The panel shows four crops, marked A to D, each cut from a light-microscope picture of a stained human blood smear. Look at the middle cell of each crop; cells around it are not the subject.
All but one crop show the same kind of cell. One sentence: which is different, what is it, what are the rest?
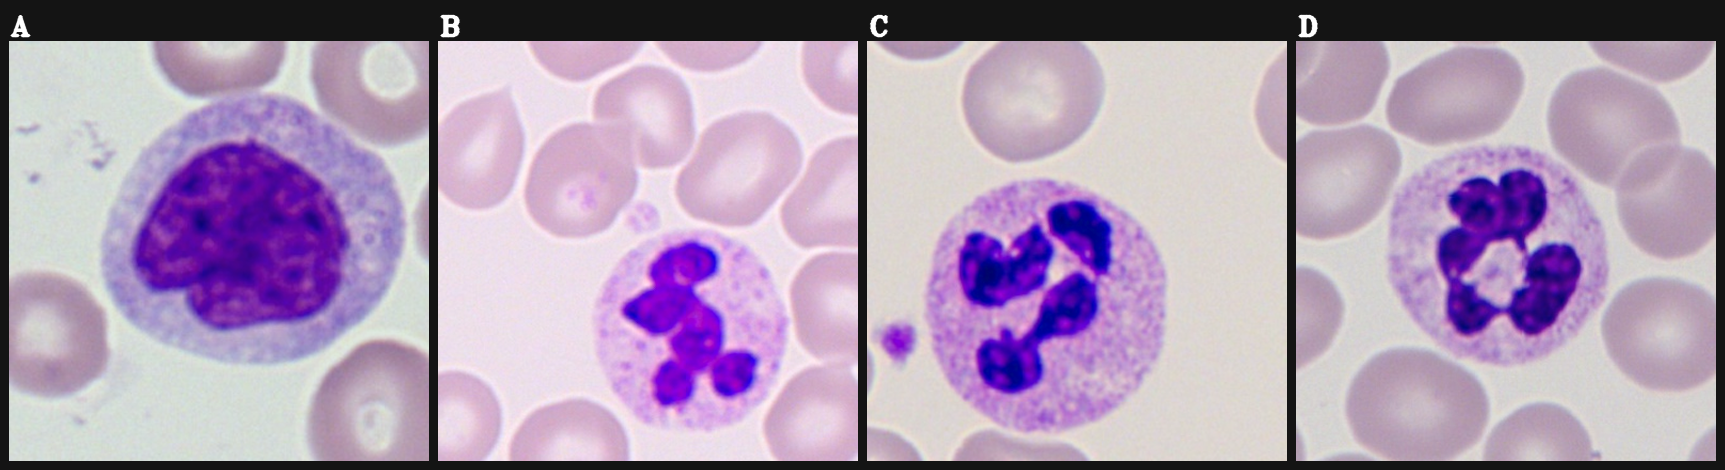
For this set, crop A is a monocyte, and all the rest are segmented neutrophils.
